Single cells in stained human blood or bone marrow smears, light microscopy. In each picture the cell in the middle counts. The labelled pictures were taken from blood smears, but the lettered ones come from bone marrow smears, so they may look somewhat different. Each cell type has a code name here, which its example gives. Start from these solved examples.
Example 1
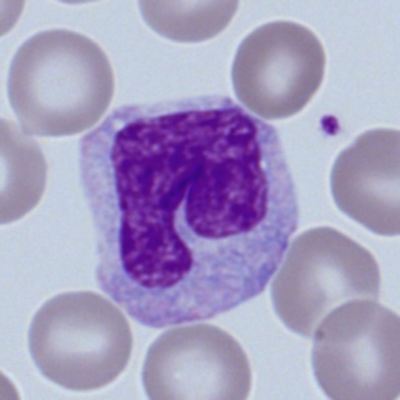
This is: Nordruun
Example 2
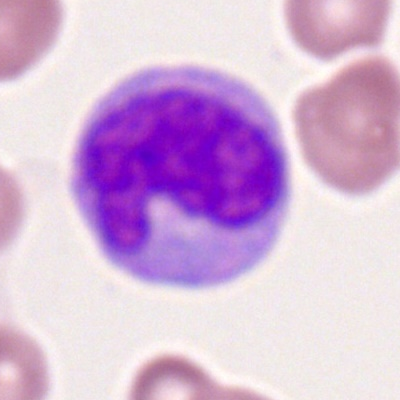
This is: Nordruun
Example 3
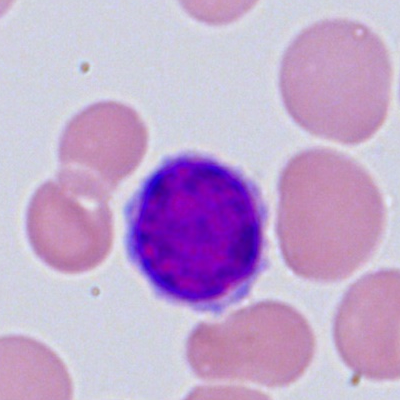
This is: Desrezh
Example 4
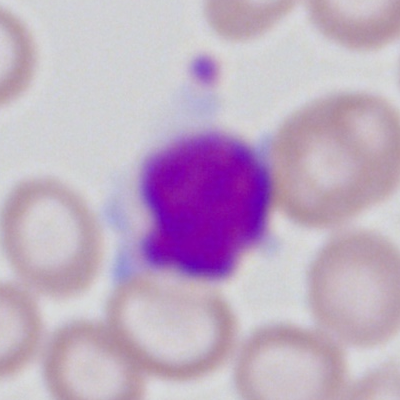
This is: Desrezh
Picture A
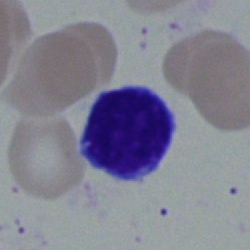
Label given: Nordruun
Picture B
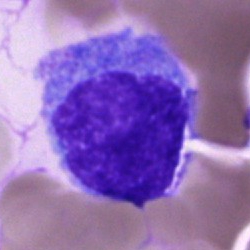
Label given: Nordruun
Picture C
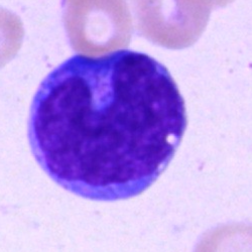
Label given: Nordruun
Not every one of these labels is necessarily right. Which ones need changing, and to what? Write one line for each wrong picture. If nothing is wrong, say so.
A: change Nordruun to Desrezh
